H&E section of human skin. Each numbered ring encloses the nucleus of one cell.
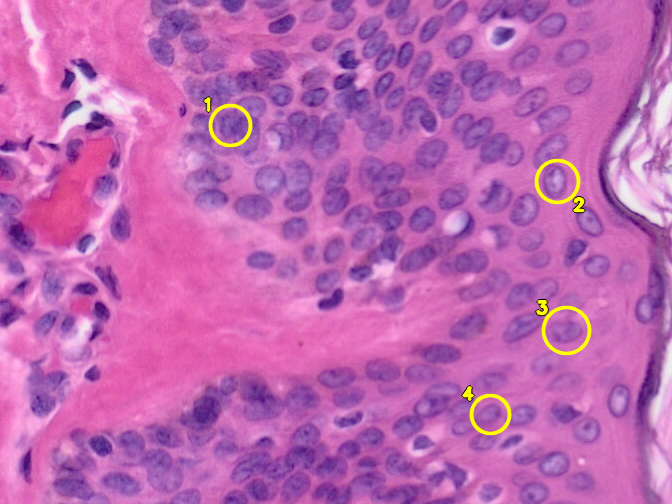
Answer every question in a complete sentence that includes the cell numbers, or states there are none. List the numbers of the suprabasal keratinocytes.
The cells 2, 3 and 4 in this section are suprabasal keratinocytes.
